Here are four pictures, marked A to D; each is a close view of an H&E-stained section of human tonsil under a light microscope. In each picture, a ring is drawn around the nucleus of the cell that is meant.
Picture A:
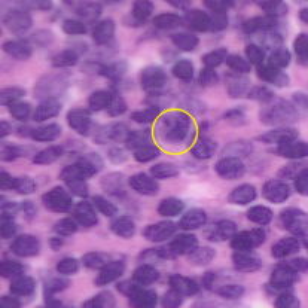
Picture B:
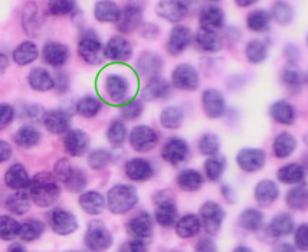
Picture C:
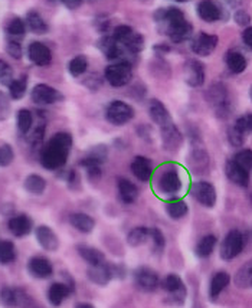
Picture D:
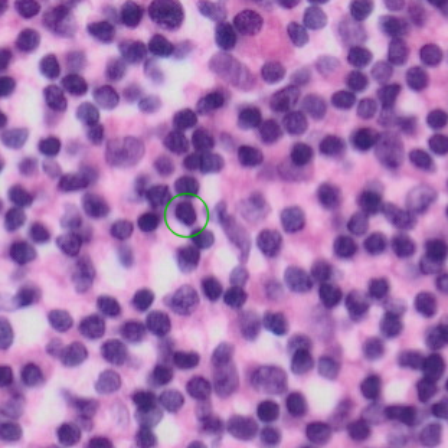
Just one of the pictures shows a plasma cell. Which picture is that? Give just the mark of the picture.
C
